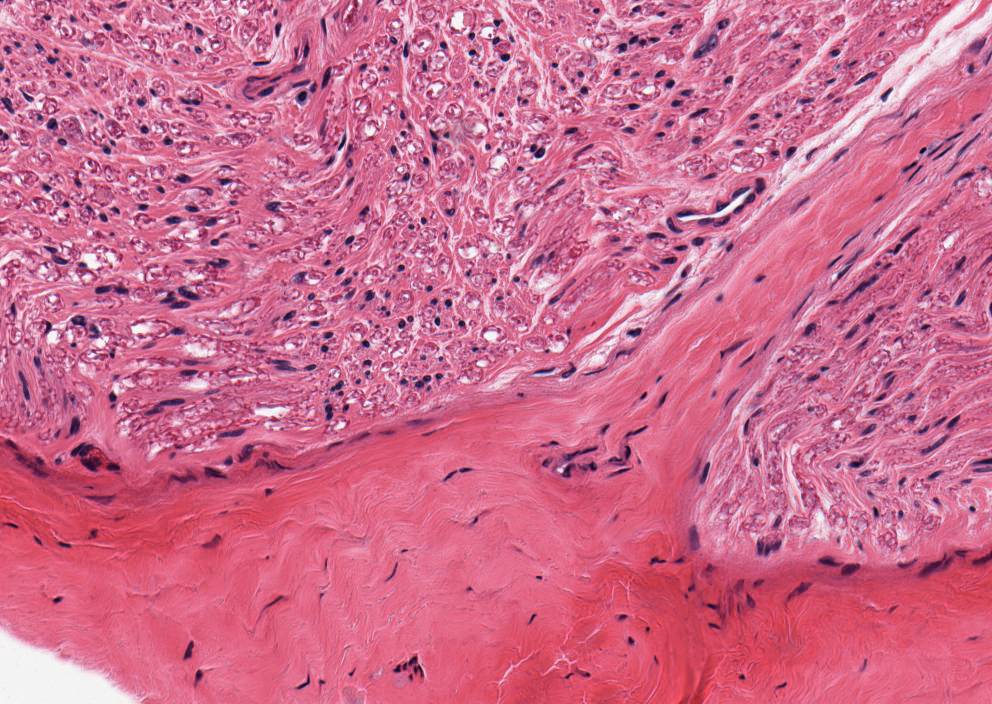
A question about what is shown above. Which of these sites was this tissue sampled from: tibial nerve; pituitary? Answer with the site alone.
tibial nerve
